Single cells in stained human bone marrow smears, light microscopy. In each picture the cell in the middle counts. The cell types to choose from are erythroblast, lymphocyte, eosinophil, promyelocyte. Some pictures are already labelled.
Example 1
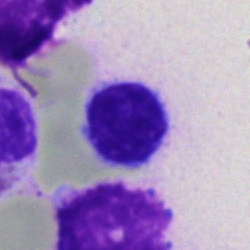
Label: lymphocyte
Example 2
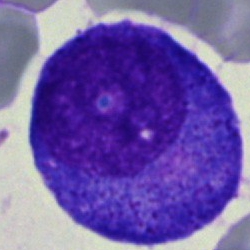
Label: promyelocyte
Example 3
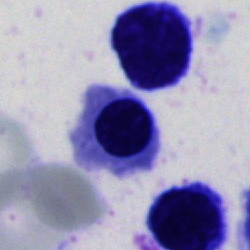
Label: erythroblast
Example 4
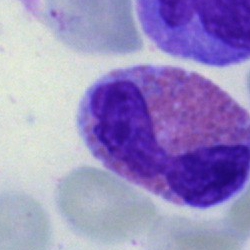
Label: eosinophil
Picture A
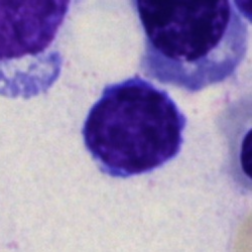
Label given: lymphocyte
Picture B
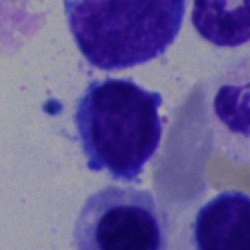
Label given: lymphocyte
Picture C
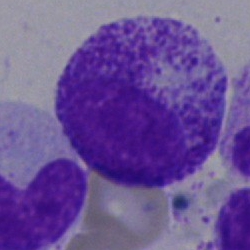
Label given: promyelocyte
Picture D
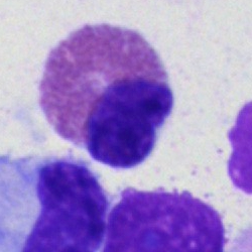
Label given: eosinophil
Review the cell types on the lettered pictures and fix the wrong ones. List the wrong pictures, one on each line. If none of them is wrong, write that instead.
All labels are correct.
